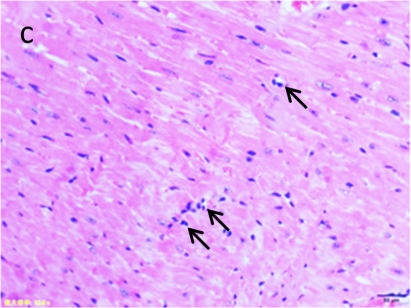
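Heart muscle stained pink, with cardiac muscle fibres less orderly than in normal muscle and pale, somewhat disorganised cytoplasm. Elongated and oval purple nuclei of muscle cells are scattered among the fibres, some appearing rounded with pale centres. Between the fibres lie small, dark, round nuclei of inflammatory cells, some clustered in small groups within the interstitial spaces. The pattern of parallel fibres is partly disrupted, with uneven staining across the field.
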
